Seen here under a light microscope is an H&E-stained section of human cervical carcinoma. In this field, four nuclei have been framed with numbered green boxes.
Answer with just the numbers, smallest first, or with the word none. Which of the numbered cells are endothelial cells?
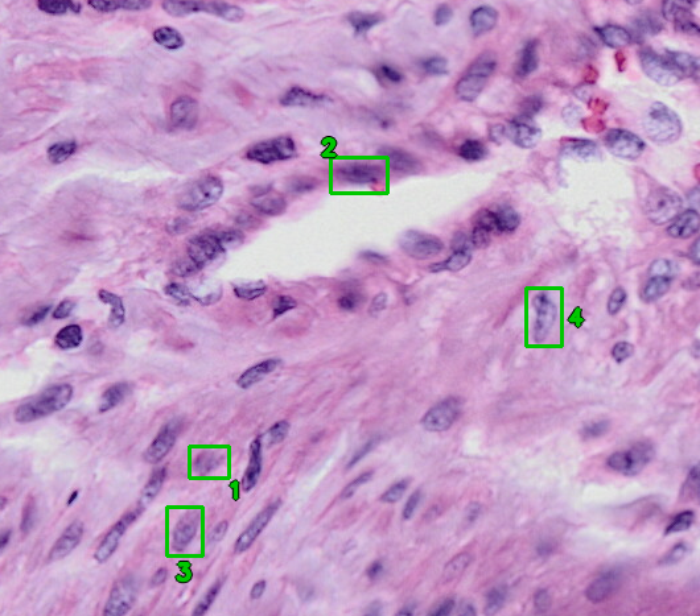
2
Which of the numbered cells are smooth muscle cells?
1, 3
